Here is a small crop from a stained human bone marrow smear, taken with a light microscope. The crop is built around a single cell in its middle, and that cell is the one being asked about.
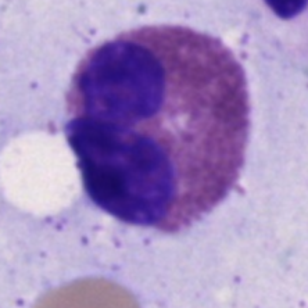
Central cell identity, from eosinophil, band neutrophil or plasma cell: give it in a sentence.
Of the cells in this crop, the central one is an eosinophil.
